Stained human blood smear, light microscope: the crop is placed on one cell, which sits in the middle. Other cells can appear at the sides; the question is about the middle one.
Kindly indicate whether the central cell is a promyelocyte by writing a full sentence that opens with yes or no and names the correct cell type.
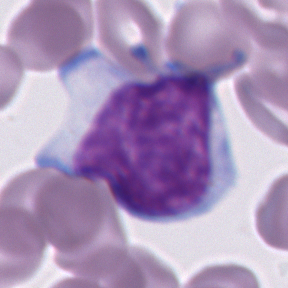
No, sorry, the middle cell is a myeloblast rather than a promyelocyte.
